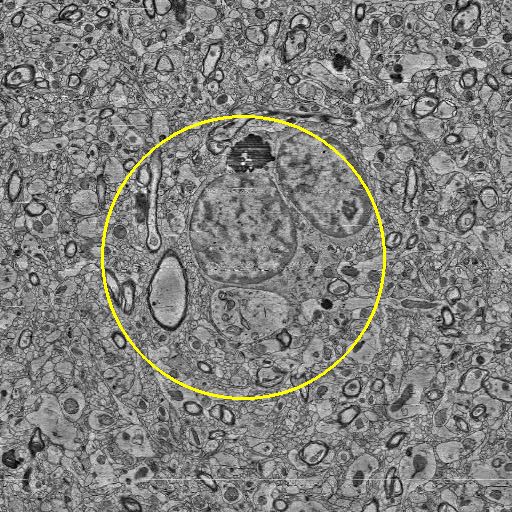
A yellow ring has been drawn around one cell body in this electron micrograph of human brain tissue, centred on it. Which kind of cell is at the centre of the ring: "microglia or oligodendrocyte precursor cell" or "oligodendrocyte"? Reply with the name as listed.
oligodendrocyte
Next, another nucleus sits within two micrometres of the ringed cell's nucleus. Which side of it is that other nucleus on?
The other nucleus lies to the upper right of it.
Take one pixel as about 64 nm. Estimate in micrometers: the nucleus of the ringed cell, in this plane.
In this plane the ringed cell's nucleus is roughly 7 micrometres across.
